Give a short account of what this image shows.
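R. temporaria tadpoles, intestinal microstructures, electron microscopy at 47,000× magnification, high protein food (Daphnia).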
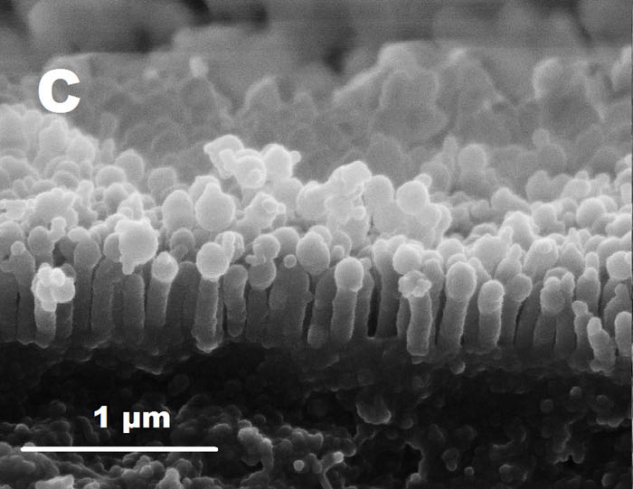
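Here we look from the side at the brush border of the gut lining, the seam of microvilli that covers the absorptive surface. Beneath the row lies a darker, rougher surface from which the projections rise, and beyond them the surface blurs away out of focus.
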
